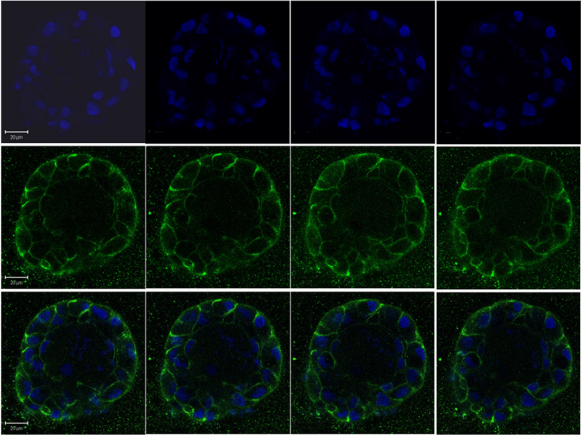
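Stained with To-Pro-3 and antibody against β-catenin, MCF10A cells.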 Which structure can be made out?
Acini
